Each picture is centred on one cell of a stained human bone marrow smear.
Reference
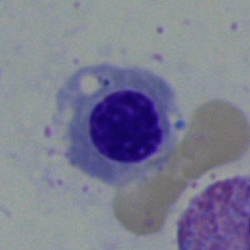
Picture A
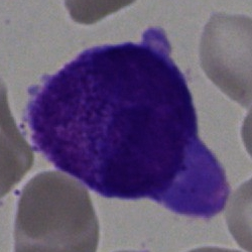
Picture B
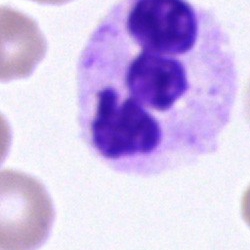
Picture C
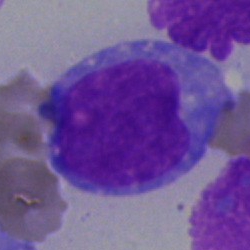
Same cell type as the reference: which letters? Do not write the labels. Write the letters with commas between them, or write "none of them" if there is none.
none of them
